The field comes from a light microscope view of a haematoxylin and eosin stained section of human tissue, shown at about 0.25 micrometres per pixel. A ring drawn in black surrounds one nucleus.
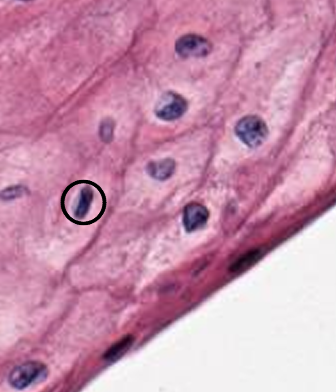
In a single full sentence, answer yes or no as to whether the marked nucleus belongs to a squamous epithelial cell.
Yes, the cell that holds the marked nucleus is a squamous epithelial cell.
